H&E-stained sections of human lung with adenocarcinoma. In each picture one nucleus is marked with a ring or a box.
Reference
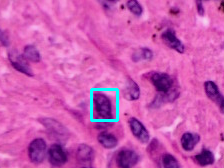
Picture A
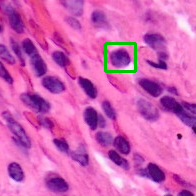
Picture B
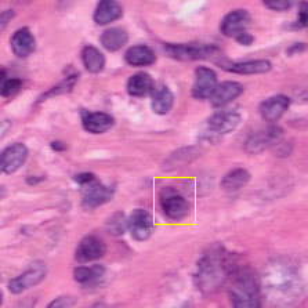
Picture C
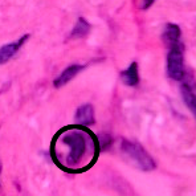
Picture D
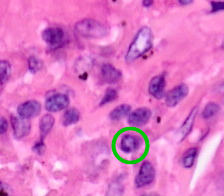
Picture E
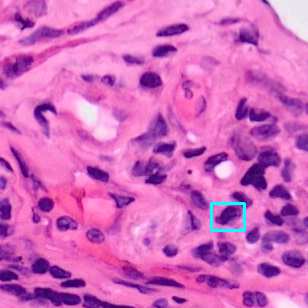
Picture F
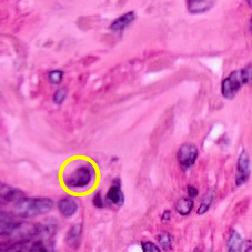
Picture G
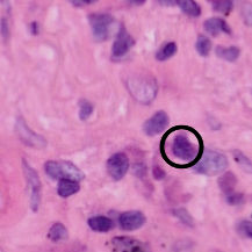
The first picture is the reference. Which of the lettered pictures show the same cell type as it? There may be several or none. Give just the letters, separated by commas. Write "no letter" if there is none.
B, C, D, F, G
